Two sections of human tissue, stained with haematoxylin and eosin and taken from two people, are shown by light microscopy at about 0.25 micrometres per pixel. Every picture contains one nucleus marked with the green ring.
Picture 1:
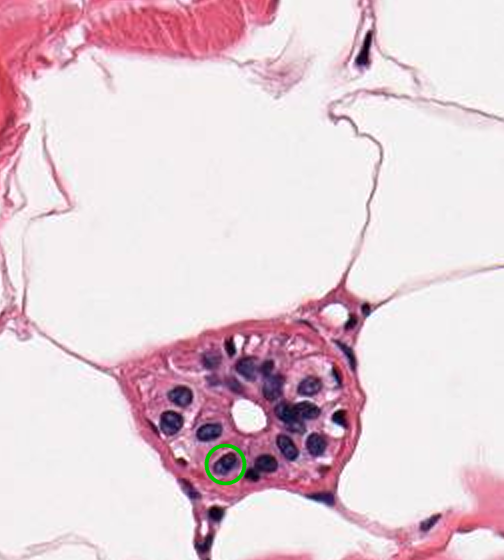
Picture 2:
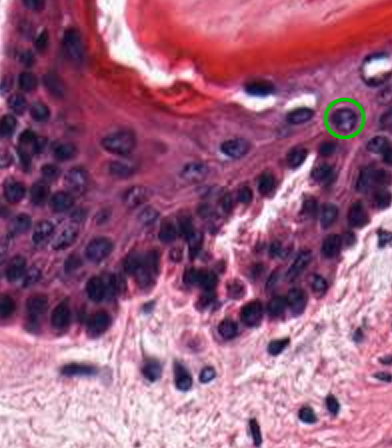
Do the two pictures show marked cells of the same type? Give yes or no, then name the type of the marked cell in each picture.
No, the first is a sweat gland cell and the second a keratinocyte.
